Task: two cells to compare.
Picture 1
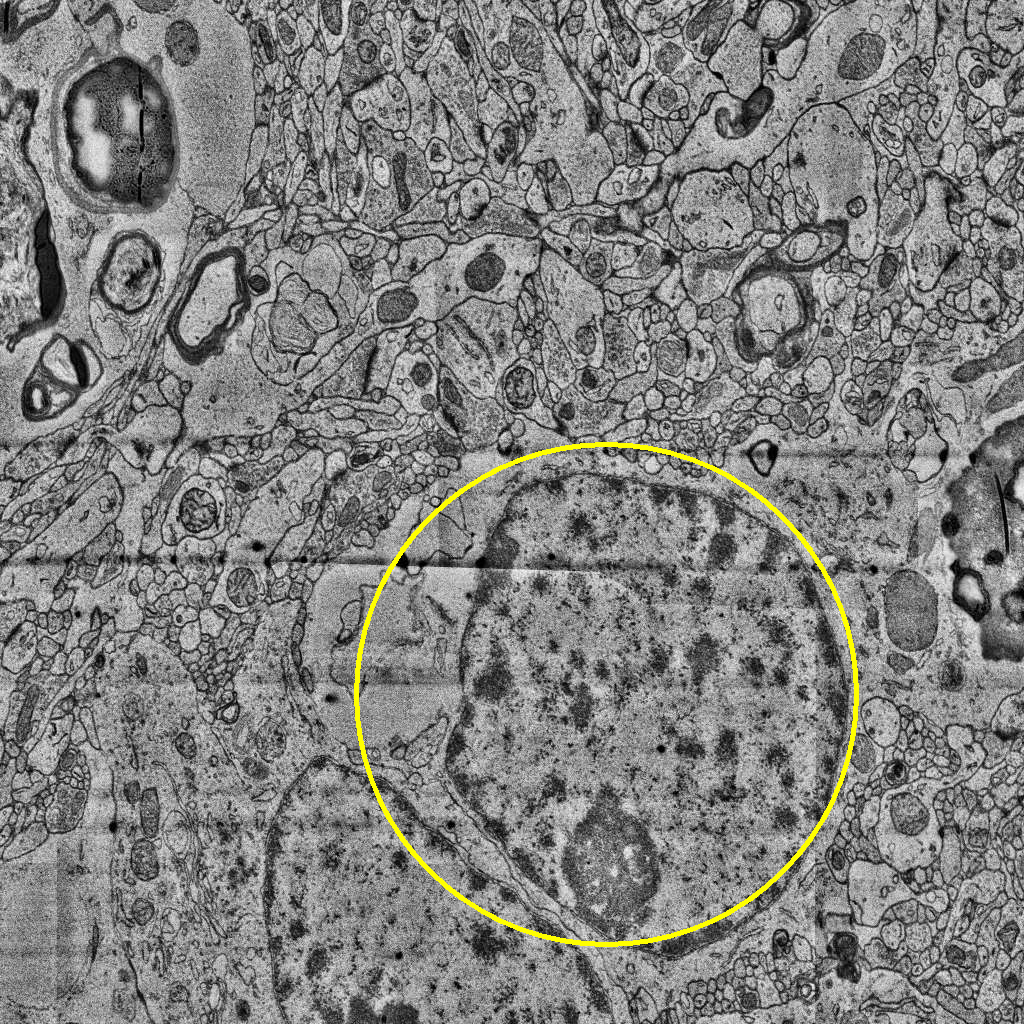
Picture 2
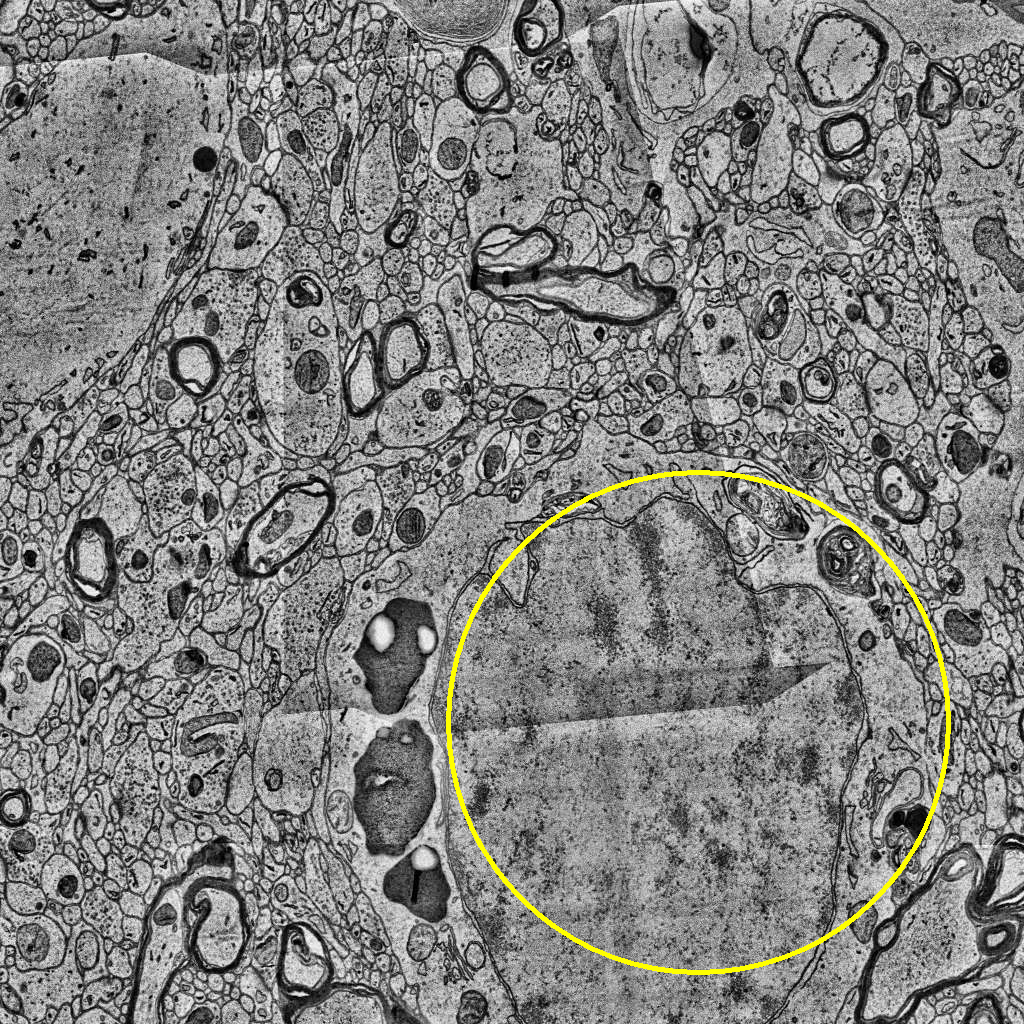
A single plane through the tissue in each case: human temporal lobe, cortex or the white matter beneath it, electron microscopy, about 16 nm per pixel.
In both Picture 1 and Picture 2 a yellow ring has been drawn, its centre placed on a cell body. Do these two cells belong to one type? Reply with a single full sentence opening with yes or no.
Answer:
No, the two cells at the ring centres in Picture 1 and Picture 2 are of two types.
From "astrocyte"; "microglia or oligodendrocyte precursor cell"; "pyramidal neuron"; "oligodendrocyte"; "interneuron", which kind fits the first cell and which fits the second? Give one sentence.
The first picture shows an astrocyte at the ring centre and the second shows an interneuron.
